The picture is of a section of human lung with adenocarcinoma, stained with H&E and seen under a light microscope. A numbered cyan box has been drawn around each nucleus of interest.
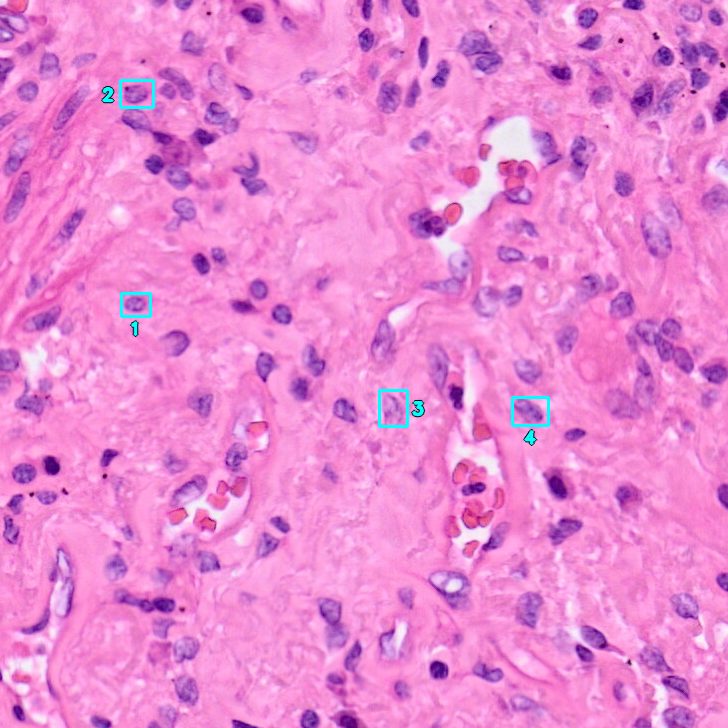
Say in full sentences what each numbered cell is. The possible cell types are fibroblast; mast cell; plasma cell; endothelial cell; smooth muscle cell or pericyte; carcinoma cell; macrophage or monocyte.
Cells 1 and 2 are mast cells. Cells 3 and 4 are fibroblasts.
